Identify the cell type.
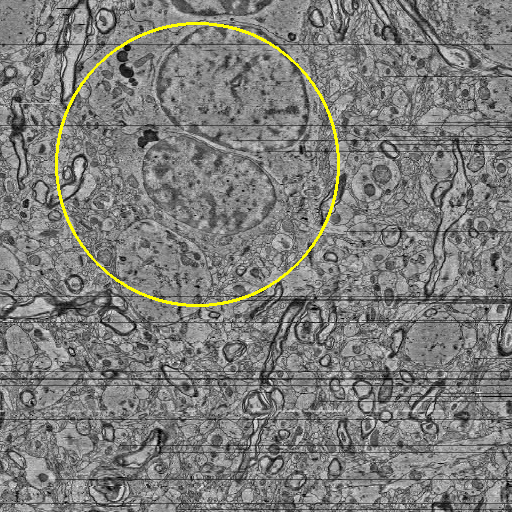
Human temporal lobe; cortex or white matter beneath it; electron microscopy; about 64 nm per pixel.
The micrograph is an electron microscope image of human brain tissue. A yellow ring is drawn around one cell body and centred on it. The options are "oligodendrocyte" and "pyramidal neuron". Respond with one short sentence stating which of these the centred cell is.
The cell body in the ring belongs to an oligodendrocyte.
